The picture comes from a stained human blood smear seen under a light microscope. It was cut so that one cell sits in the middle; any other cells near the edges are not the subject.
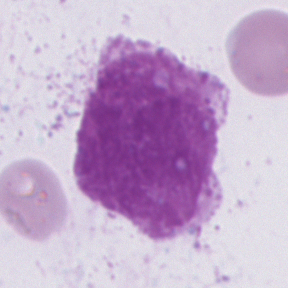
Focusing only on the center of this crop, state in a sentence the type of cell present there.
Among the cells in view, the one in the middle is a smudge cell.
